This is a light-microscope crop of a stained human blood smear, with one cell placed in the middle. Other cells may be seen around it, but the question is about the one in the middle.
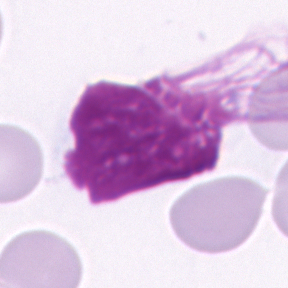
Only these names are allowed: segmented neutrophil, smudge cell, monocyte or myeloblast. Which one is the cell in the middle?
smudge cell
